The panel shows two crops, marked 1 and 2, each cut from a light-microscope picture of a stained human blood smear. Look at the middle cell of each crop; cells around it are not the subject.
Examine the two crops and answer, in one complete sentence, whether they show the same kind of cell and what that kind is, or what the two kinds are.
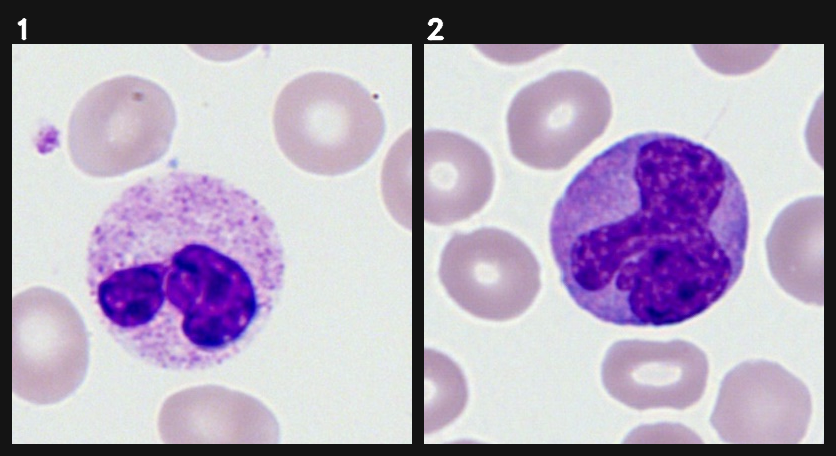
No, for crop 1 the cell is a segmented neutrophil, and for crop 2 it is a monocyte.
